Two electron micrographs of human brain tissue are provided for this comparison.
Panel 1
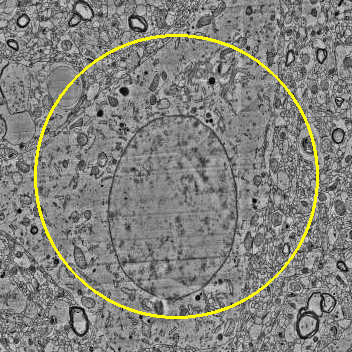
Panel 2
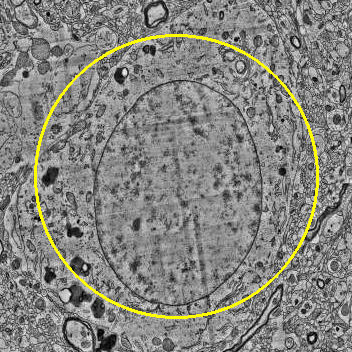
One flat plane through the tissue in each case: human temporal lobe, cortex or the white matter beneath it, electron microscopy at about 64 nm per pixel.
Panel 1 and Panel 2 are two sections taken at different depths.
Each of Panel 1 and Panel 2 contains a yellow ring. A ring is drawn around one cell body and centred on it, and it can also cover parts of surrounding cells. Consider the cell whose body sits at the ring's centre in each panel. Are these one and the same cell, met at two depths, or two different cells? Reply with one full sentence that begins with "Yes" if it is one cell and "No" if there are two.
Yes, both yellow rings were placed on the same cell.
